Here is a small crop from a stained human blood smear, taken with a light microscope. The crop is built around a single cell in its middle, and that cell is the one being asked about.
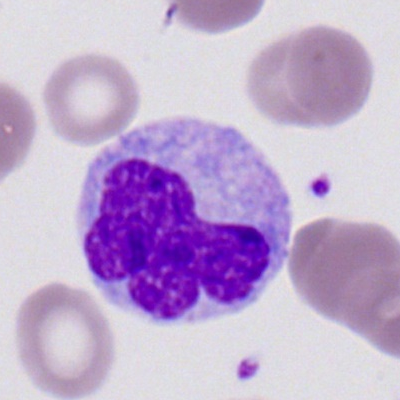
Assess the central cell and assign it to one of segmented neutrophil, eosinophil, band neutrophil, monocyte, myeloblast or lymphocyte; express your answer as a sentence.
For this crop, the cell in the middle is a monocyte.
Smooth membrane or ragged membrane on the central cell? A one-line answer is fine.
No projections interrupt the outline; it is smooth all the way round.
